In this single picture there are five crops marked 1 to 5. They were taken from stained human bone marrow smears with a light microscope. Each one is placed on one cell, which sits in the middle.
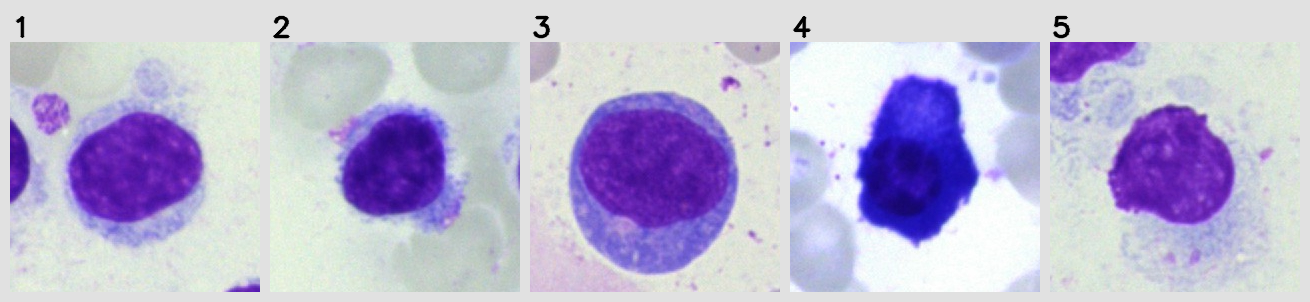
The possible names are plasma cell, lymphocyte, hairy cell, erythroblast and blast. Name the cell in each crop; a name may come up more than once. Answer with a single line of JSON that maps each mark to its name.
{"1": "hairy cell", "2": "hairy cell", "3": "blast", "4": "plasma cell", "5": "hairy cell"}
